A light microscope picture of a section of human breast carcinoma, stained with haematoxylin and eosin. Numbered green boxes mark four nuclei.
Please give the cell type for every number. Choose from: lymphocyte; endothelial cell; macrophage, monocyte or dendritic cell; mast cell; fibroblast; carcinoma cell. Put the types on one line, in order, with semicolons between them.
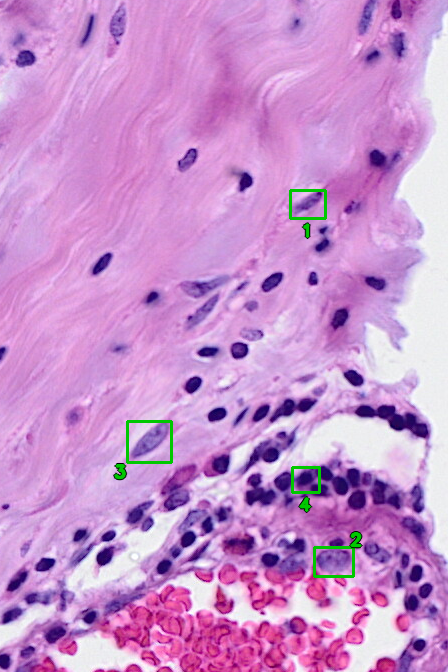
fibroblast; endothelial cell; fibroblast; lymphocyte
